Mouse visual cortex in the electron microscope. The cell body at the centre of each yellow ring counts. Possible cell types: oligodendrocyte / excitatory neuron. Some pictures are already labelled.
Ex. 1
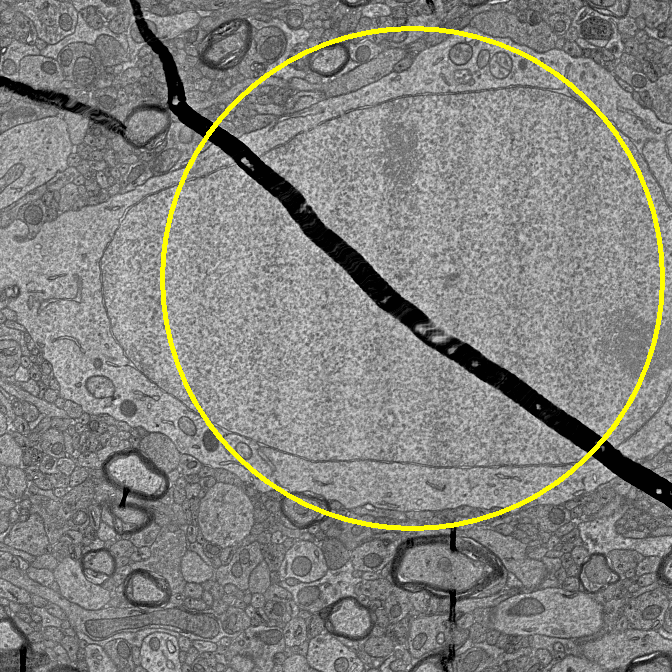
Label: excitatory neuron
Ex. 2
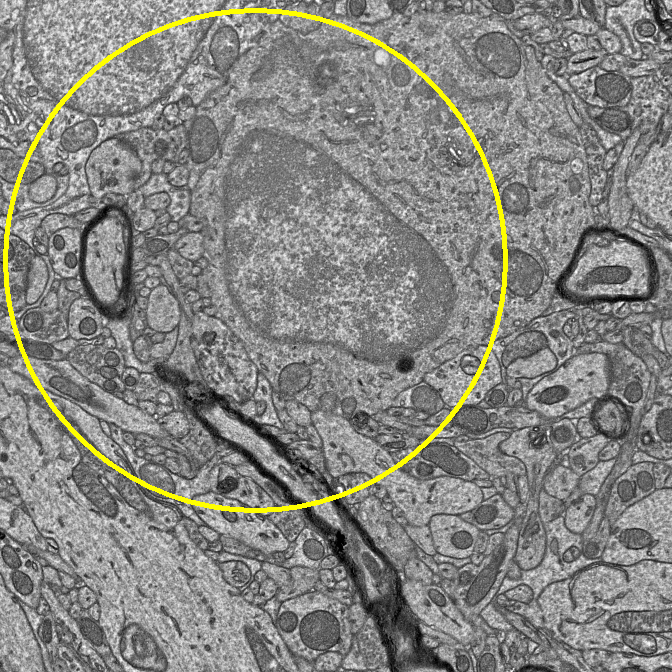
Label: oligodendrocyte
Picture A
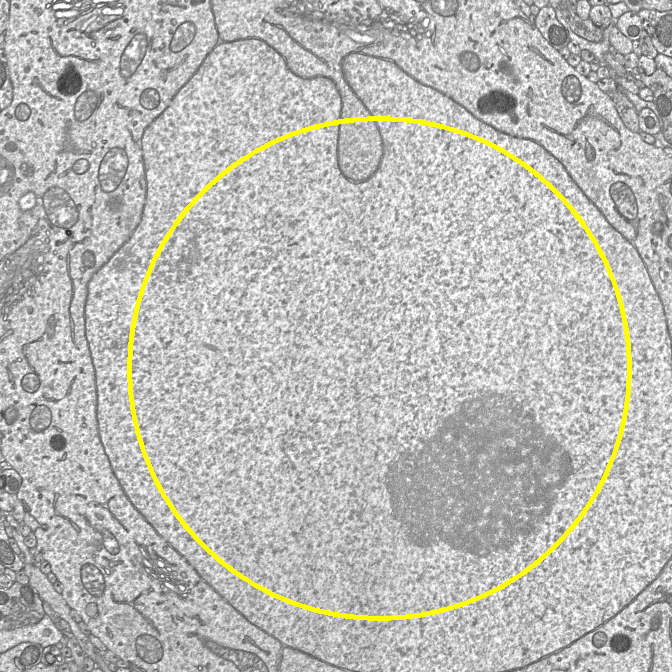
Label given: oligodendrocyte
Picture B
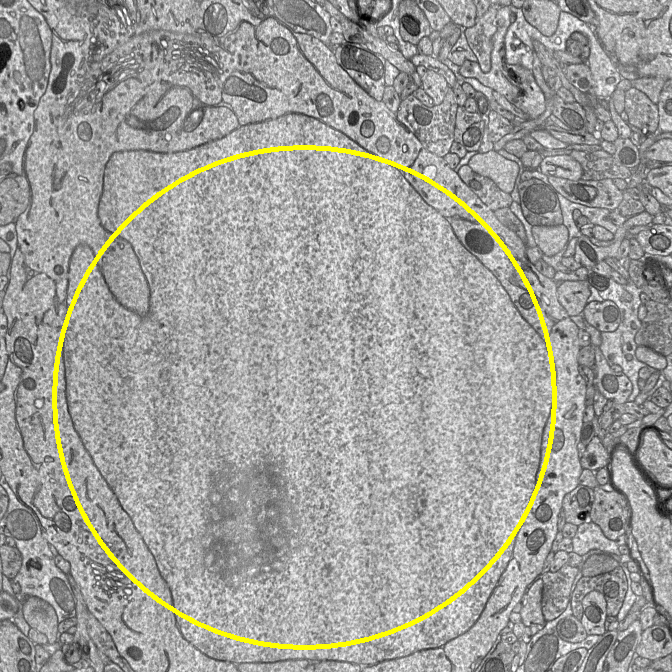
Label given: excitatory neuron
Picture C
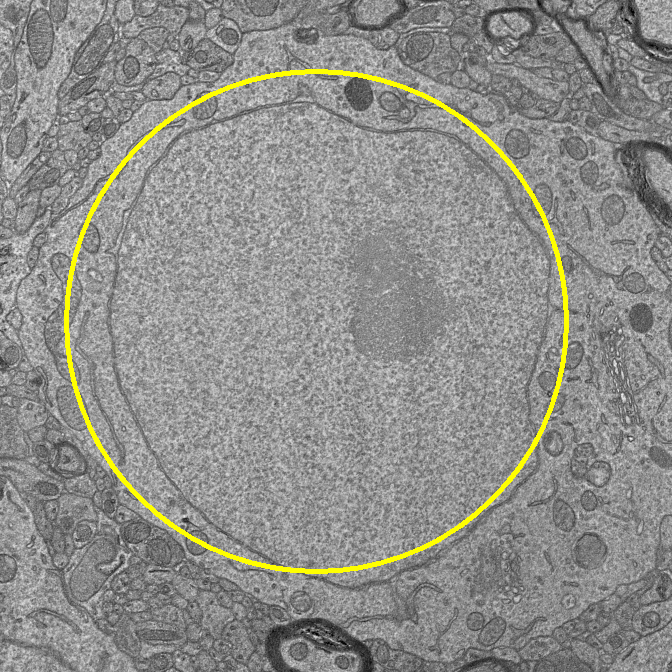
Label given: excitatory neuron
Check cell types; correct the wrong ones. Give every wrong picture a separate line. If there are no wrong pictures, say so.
A should be excitatory neuron, not oligodendrocyte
